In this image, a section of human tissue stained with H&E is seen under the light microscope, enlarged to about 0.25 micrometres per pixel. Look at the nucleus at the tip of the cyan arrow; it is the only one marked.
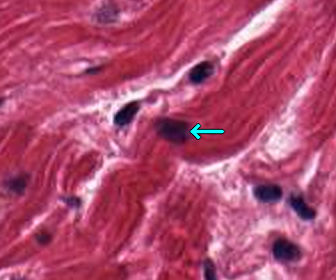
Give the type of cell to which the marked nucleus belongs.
cardiomyocyte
